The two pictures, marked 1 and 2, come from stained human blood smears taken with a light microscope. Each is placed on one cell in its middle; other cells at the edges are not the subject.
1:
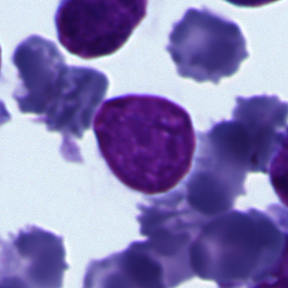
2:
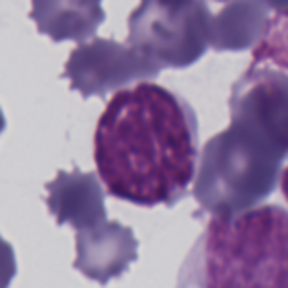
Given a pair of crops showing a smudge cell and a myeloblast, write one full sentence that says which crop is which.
It is a smudge cell that crop 1 shows, and a myeloblast that crop 2 shows.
